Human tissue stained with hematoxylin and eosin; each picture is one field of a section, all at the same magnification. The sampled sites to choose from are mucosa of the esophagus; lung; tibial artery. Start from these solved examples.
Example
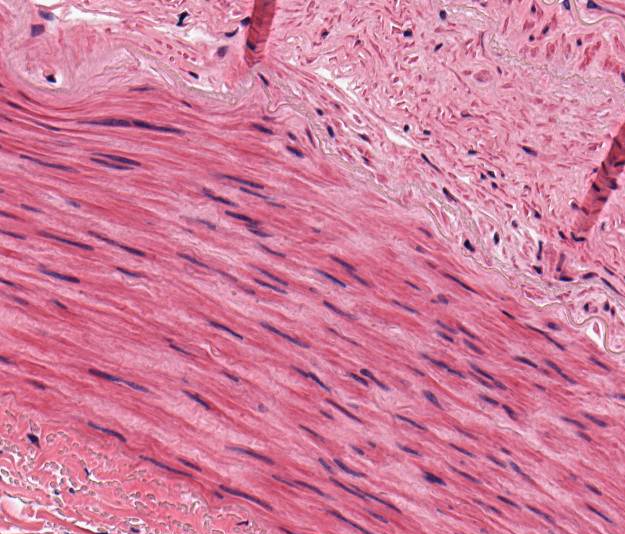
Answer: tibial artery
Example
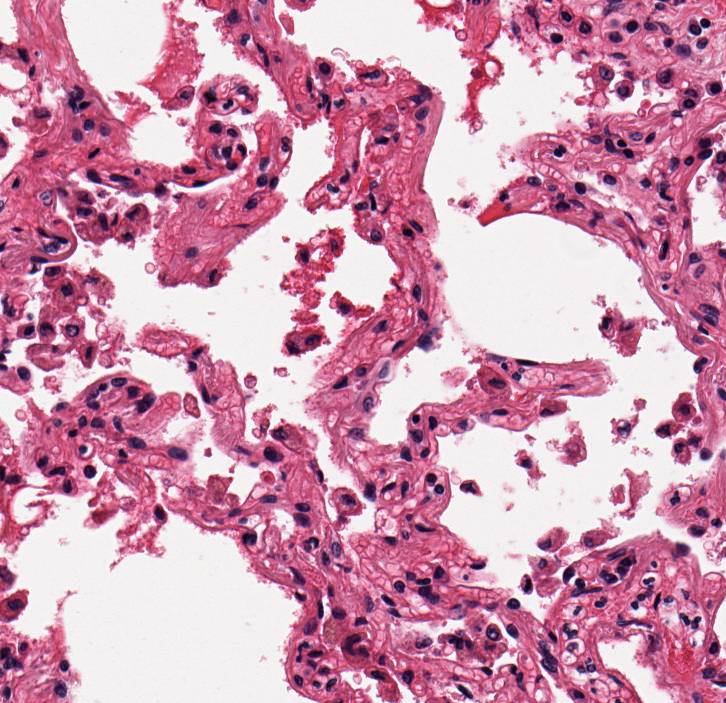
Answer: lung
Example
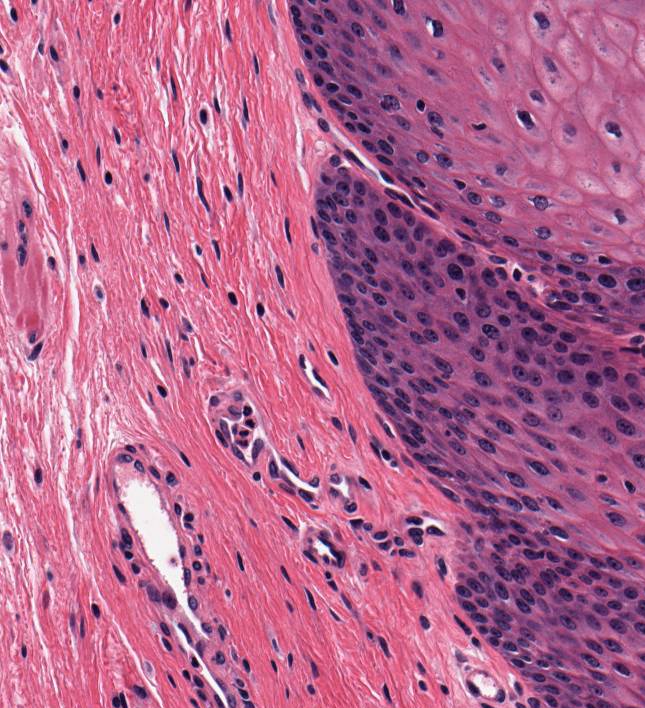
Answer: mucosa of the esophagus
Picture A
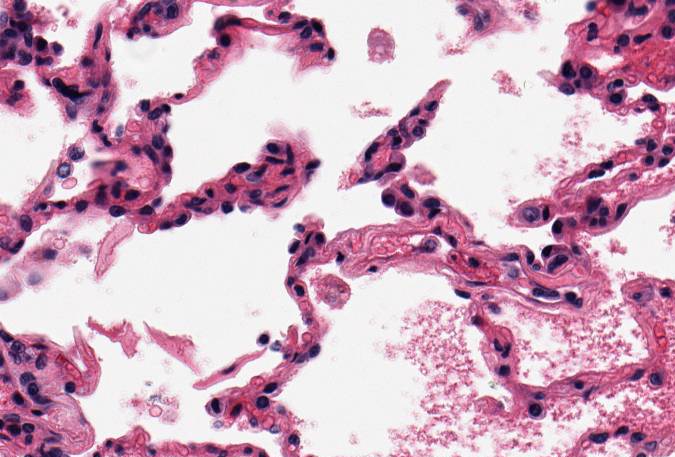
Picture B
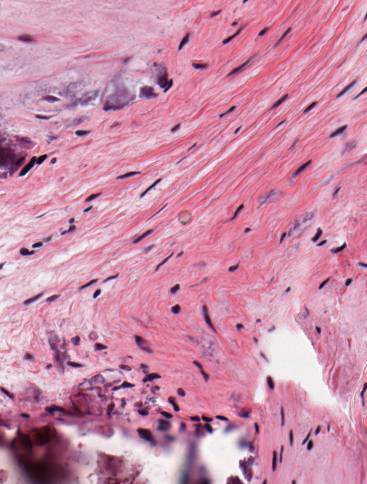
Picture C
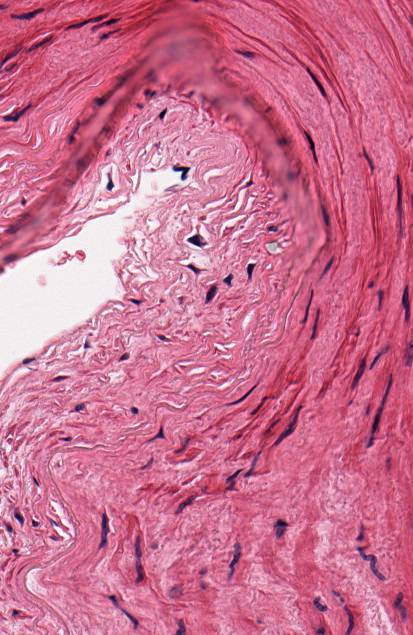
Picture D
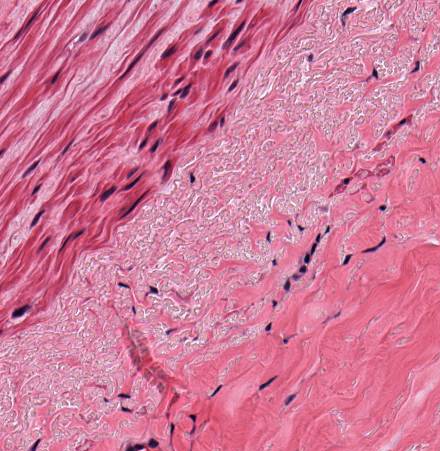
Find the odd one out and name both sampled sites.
Exception: A, showing lung. Remaining pictures: tibial artery.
